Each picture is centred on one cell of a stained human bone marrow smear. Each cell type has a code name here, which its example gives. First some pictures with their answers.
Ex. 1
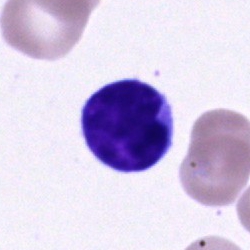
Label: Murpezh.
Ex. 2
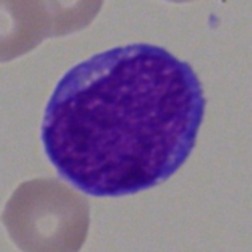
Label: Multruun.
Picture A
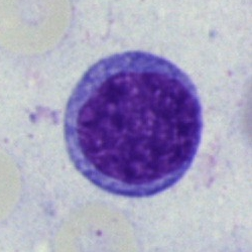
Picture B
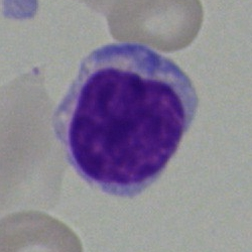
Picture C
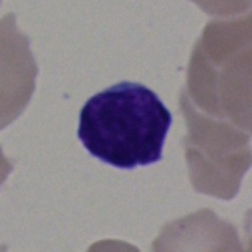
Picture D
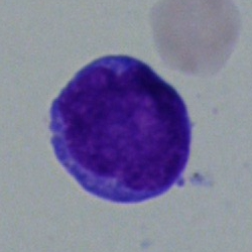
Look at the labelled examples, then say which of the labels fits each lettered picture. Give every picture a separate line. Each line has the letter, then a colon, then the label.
A: Multruun.
B: Murpezh.
C: Murpezh.
D: Multruun.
